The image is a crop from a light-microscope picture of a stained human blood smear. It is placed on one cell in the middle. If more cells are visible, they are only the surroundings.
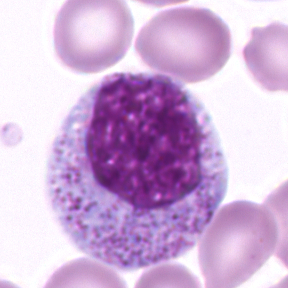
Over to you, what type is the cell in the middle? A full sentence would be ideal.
Present in the middle of the crop is a myelocyte.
